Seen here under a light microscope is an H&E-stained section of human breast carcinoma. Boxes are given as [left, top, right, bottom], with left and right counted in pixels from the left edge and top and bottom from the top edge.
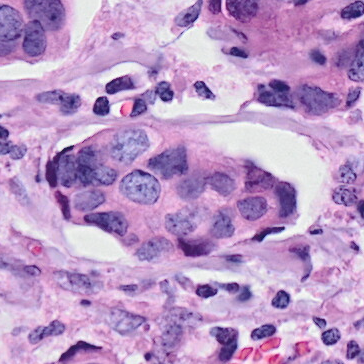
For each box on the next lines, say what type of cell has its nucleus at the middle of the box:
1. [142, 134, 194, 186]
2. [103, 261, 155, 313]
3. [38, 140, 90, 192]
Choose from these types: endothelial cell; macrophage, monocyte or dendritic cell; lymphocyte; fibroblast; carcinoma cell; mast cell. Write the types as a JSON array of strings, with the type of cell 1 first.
["carcinoma cell", "macrophage, monocyte or dendritic cell", "carcinoma cell"]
